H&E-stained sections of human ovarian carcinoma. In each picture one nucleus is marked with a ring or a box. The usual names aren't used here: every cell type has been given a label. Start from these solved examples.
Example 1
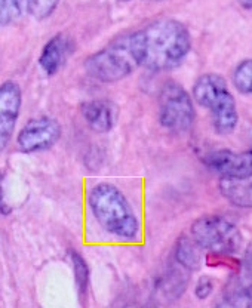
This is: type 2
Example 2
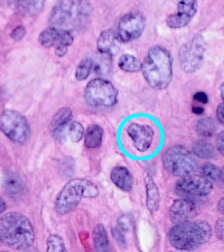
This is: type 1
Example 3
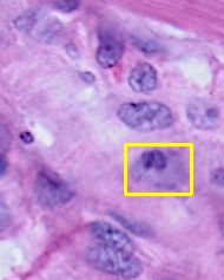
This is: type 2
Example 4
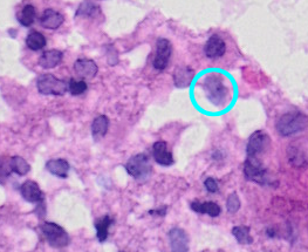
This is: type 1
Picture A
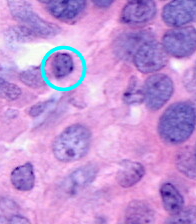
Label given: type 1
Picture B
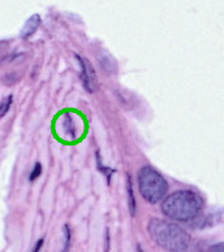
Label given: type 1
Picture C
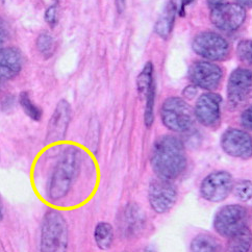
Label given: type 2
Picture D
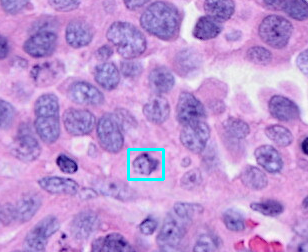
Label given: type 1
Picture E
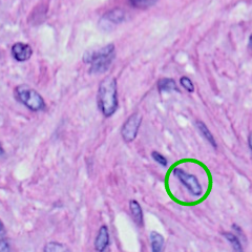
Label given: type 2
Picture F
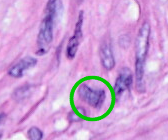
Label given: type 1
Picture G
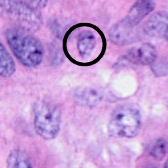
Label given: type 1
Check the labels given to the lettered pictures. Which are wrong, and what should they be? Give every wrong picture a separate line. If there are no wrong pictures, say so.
B: type 2, not type 1
F: type 2, not type 1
